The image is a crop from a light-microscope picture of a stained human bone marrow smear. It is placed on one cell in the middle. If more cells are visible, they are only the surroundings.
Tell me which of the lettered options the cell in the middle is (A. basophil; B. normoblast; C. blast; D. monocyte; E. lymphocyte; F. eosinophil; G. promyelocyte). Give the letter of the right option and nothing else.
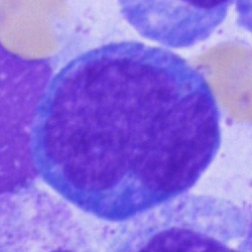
C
